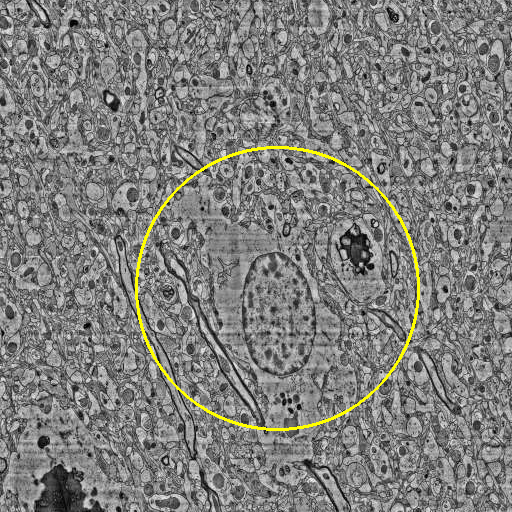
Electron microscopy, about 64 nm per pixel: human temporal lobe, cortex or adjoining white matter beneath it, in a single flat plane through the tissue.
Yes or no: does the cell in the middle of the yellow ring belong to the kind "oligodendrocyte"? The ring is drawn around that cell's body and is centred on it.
no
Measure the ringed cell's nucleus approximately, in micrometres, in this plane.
In this plane, approximately 8 by 5 micrometers, and clearly longer than it is wide.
